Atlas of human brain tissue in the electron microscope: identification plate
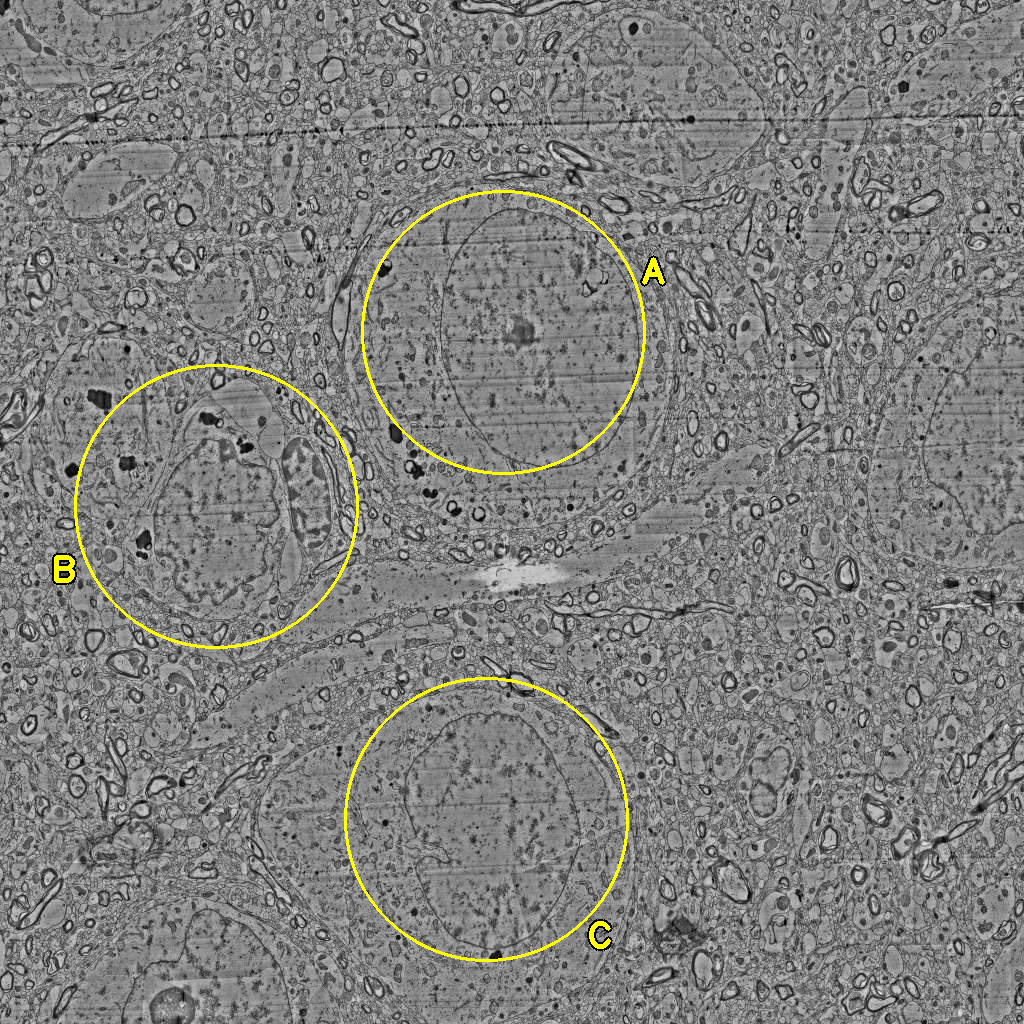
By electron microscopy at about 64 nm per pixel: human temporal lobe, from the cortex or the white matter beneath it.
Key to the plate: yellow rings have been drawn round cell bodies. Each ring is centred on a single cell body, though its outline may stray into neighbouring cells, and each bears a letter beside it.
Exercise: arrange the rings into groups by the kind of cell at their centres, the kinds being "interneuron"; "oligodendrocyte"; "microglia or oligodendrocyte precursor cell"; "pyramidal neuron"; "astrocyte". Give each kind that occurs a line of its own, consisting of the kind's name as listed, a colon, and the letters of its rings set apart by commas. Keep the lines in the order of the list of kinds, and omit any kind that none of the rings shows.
interneuron: B
pyramidal neuron: A, C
